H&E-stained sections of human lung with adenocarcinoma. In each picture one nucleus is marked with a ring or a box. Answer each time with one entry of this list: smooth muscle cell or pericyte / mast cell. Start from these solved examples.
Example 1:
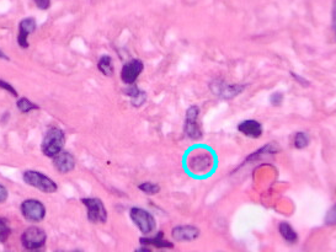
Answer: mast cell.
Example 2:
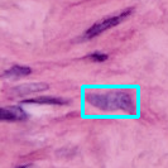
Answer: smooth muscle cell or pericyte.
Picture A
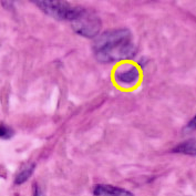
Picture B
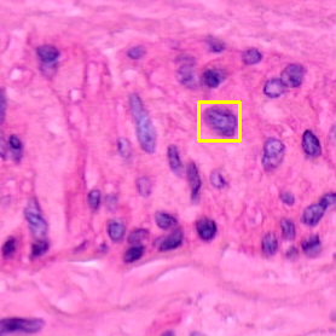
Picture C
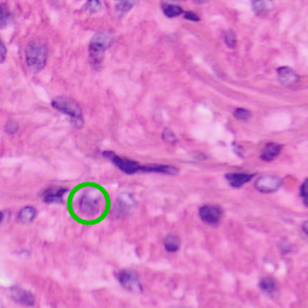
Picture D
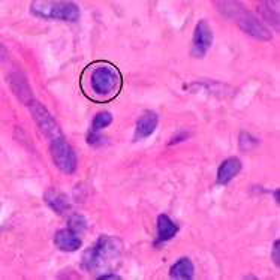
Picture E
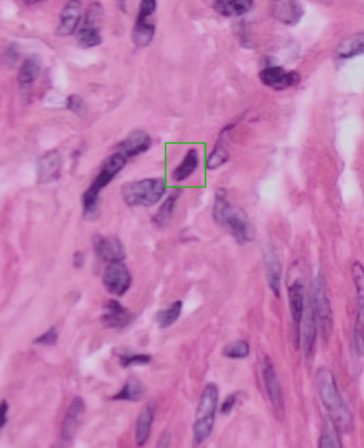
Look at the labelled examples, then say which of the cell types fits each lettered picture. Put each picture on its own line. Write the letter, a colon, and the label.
A: smooth muscle cell or pericyte.
B: smooth muscle cell or pericyte.
C: smooth muscle cell or pericyte.
D: mast cell.
E: mast cell.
